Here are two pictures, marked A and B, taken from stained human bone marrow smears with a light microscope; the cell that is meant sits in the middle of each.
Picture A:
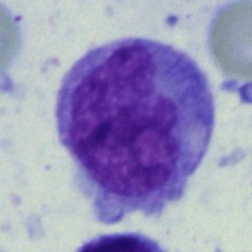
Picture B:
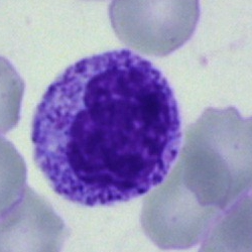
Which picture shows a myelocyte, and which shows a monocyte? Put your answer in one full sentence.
In picture A the cell is a monocyte; in picture B, a myelocyte.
